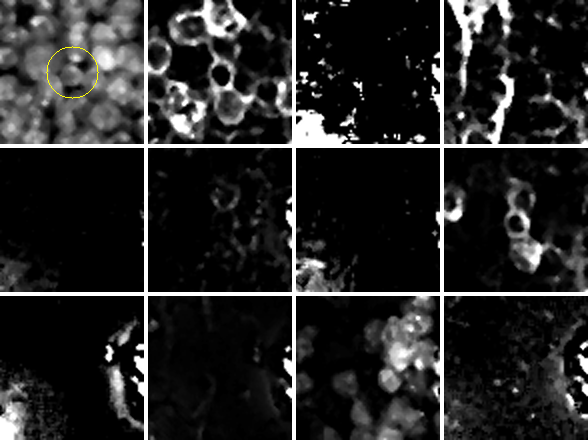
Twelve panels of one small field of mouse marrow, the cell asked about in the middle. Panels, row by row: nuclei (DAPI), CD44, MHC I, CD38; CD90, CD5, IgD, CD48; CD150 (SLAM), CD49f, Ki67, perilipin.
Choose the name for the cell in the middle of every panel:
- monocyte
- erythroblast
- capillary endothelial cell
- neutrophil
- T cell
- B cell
capillary endothelial cell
